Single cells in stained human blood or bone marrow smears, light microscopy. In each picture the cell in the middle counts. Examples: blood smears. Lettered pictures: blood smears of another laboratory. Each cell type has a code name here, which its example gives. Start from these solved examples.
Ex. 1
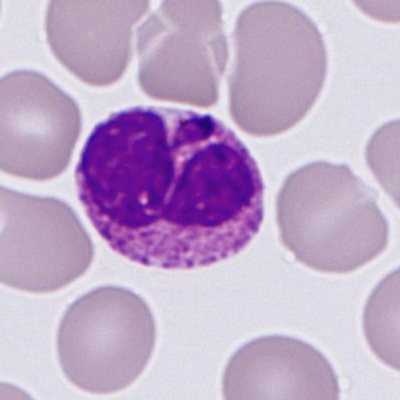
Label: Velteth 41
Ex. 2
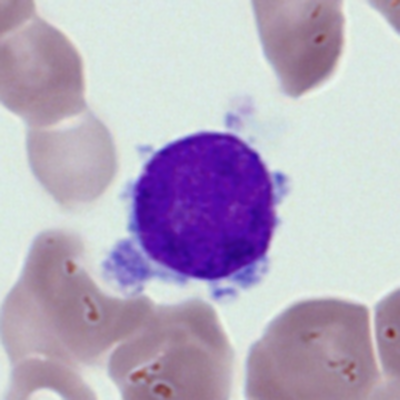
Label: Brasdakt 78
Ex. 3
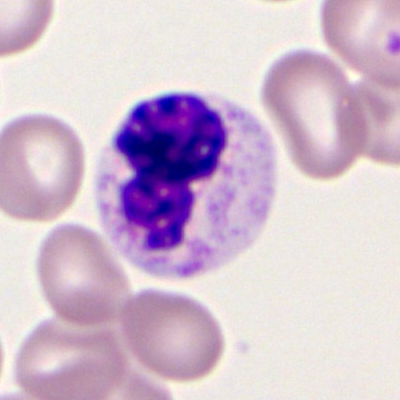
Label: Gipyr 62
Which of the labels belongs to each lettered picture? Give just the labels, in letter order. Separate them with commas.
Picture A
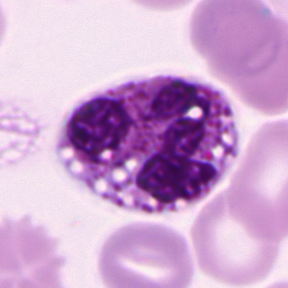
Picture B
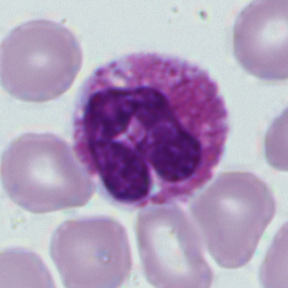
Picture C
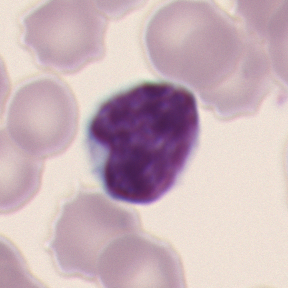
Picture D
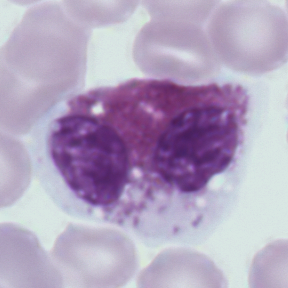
Velteth 41, Velteth 41, Brasdakt 78, Velteth 41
